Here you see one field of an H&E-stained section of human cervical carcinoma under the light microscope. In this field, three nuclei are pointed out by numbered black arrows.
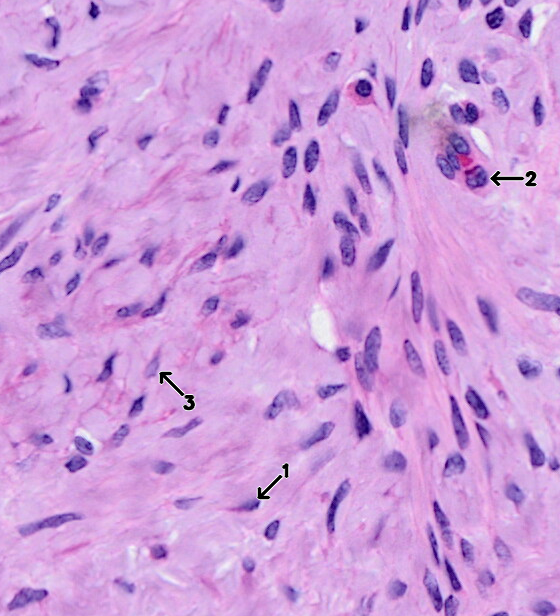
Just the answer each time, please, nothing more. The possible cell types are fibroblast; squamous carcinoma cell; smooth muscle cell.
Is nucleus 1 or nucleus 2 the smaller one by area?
1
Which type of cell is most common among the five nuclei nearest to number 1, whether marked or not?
fibroblast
